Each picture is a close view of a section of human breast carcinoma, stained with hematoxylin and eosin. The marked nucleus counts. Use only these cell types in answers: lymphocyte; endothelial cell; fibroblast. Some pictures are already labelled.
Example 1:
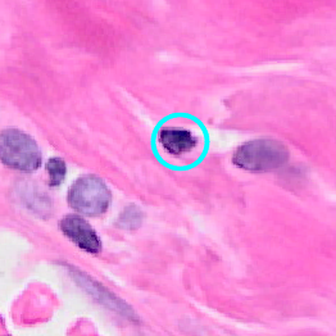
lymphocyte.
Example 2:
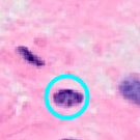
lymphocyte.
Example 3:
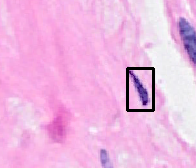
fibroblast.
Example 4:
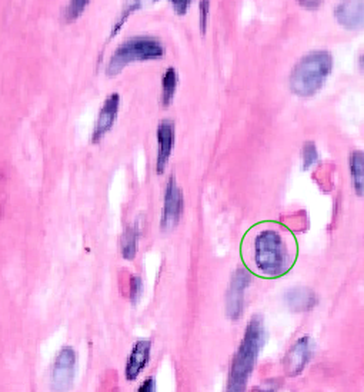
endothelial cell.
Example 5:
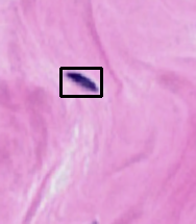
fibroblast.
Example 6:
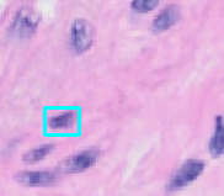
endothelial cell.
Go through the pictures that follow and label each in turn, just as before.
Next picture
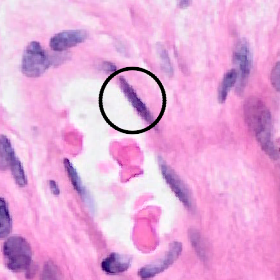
endothelial cell.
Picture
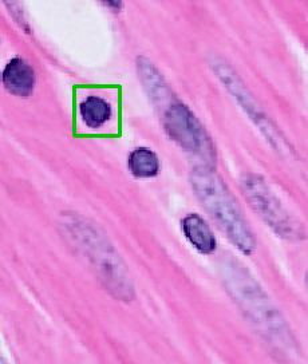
lymphocyte.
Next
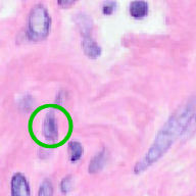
endothelial cell.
